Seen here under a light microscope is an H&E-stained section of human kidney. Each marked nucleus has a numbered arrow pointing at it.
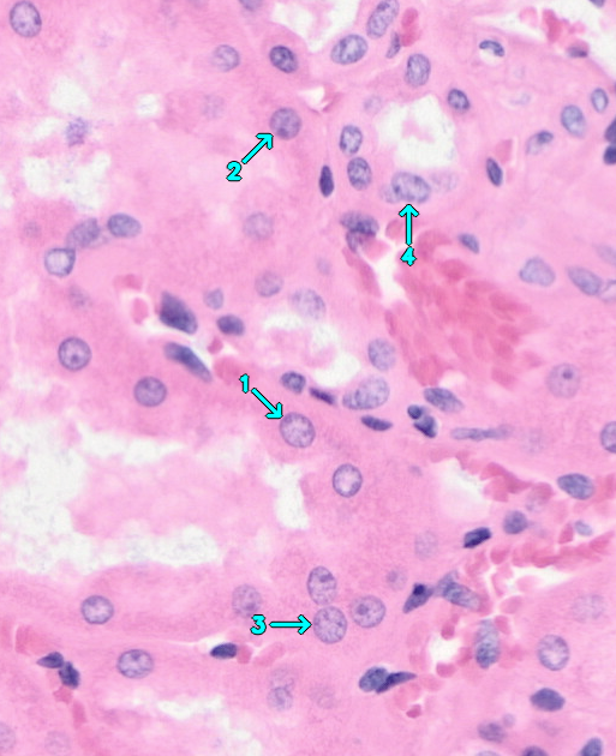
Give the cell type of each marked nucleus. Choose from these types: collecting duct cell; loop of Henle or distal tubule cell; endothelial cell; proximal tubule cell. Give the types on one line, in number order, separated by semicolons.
proximal tubule cell; proximal tubule cell; proximal tubule cell; collecting duct cell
